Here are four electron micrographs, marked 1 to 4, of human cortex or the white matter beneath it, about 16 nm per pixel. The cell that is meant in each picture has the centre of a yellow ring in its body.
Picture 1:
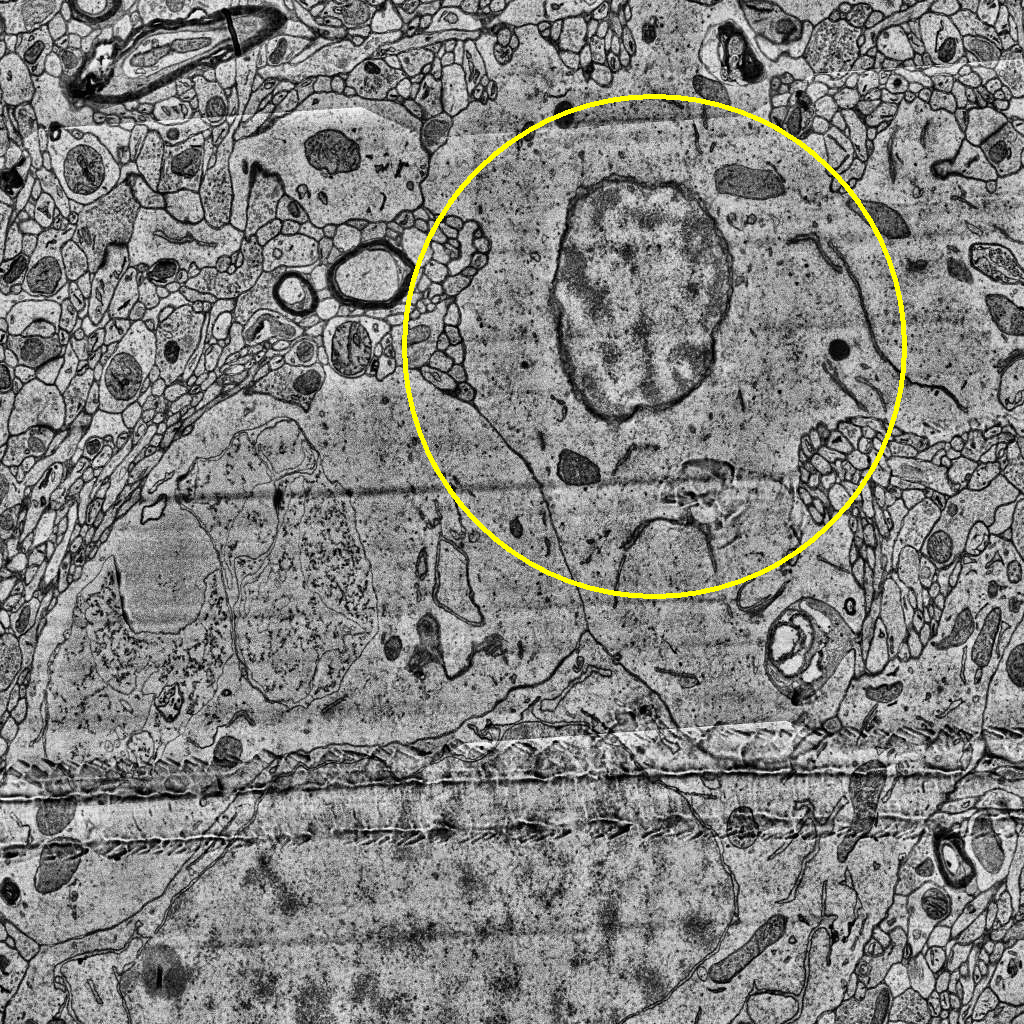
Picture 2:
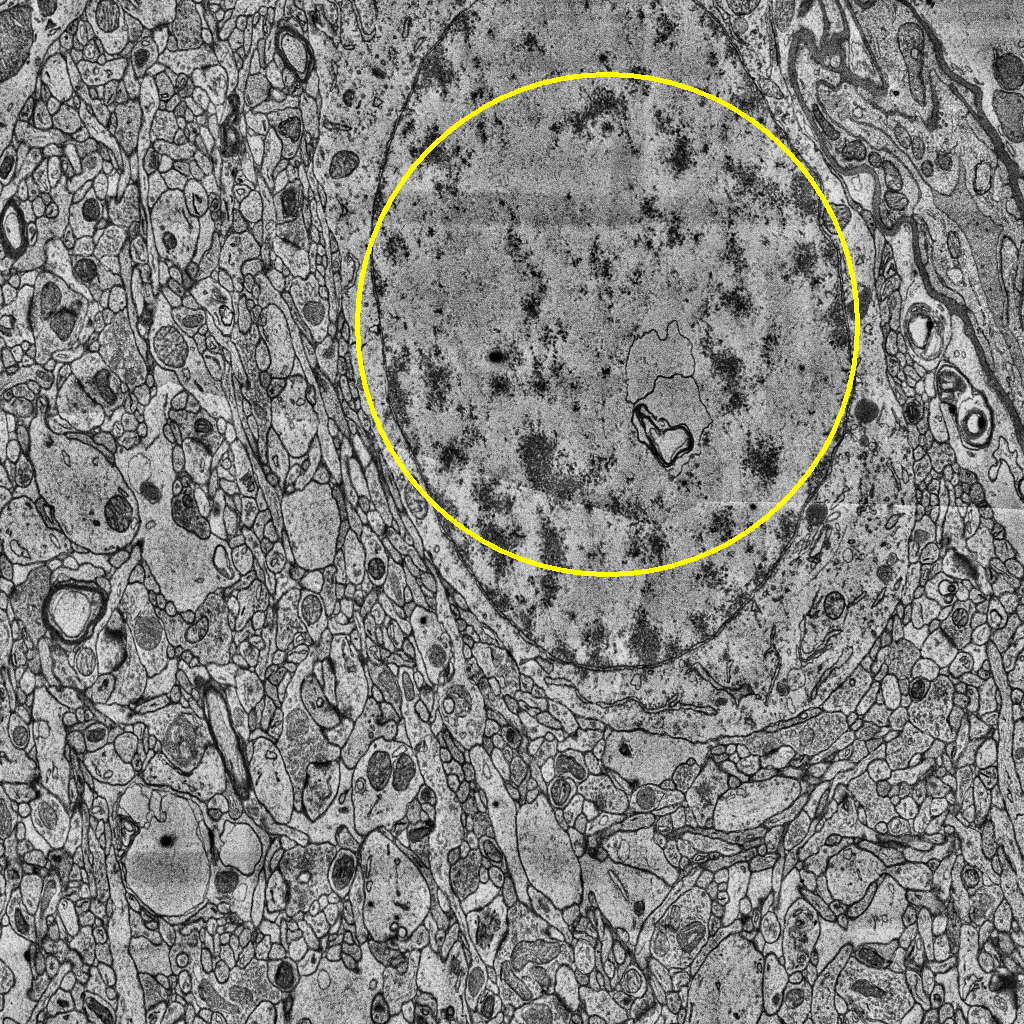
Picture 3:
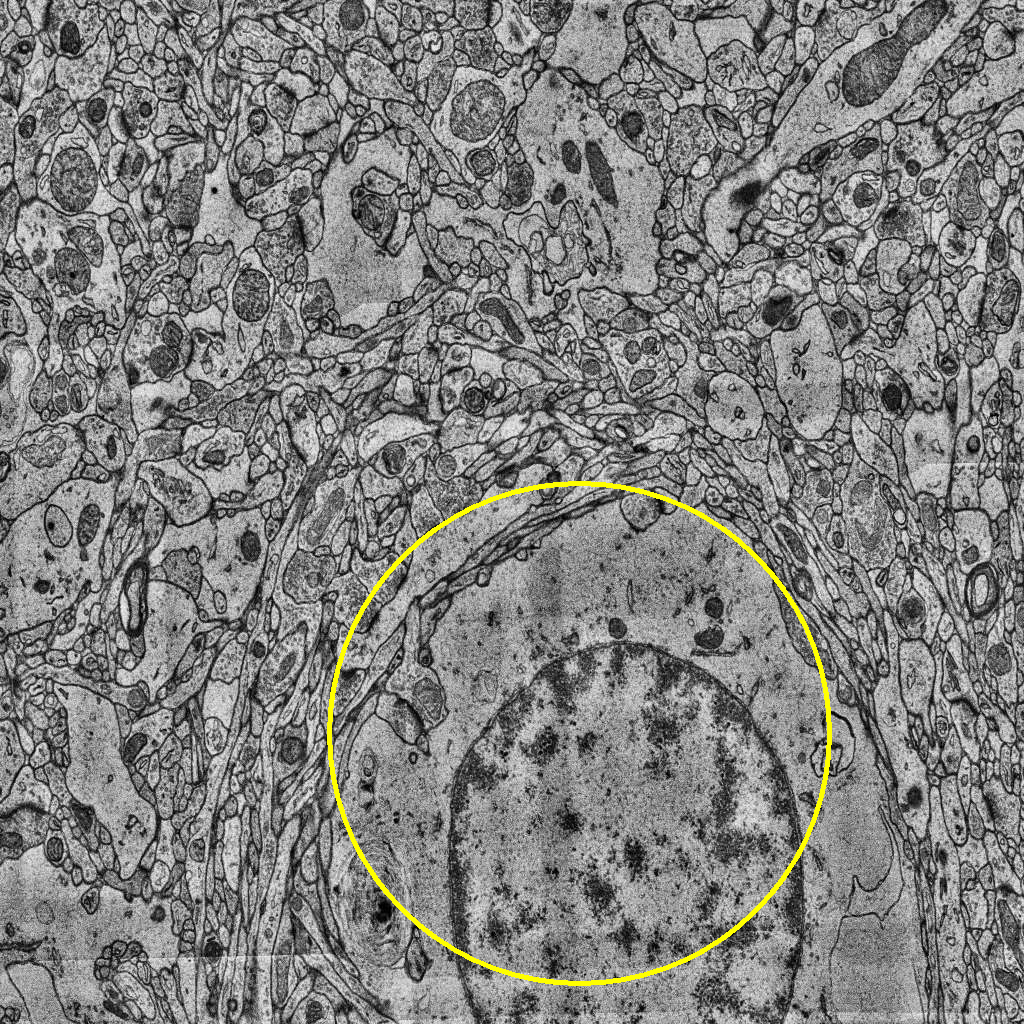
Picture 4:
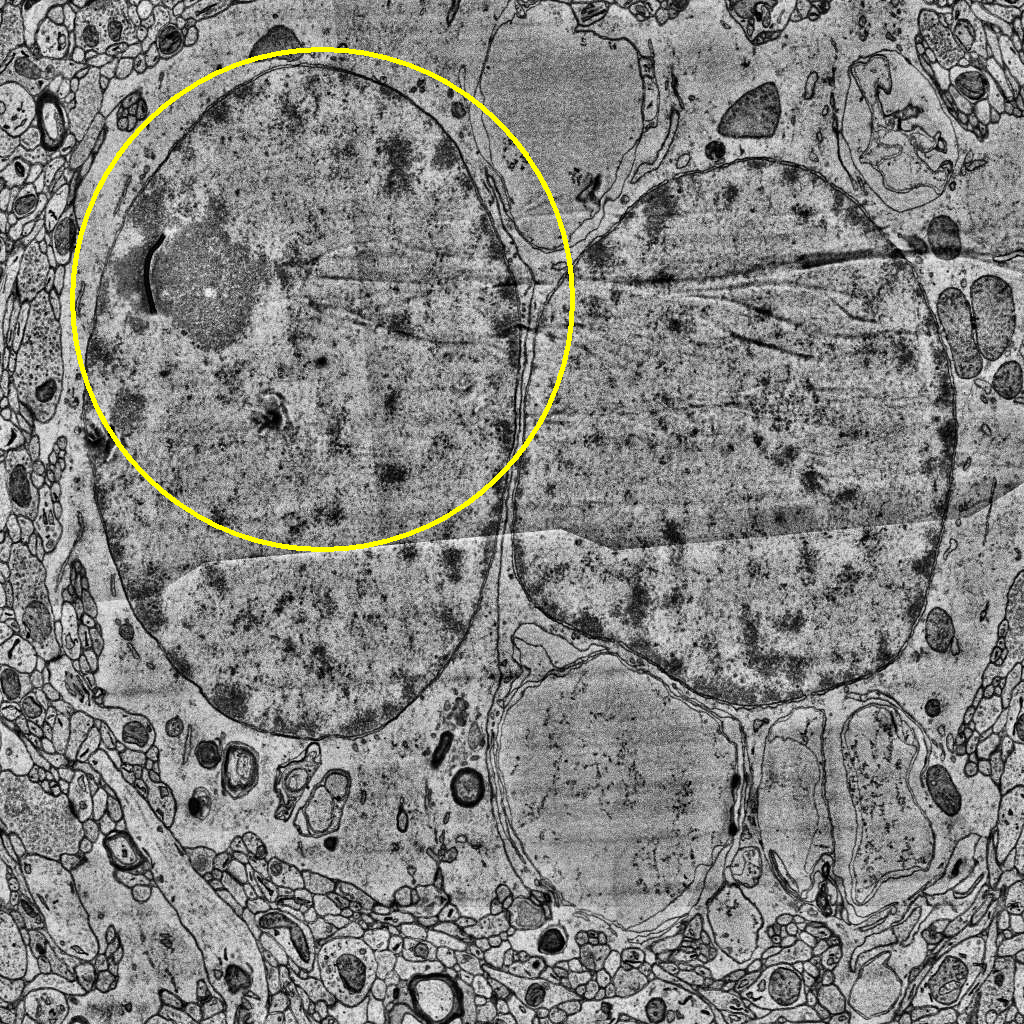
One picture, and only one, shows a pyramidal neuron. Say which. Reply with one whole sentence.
The cell in picture 2 is the pyramidal neuron.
